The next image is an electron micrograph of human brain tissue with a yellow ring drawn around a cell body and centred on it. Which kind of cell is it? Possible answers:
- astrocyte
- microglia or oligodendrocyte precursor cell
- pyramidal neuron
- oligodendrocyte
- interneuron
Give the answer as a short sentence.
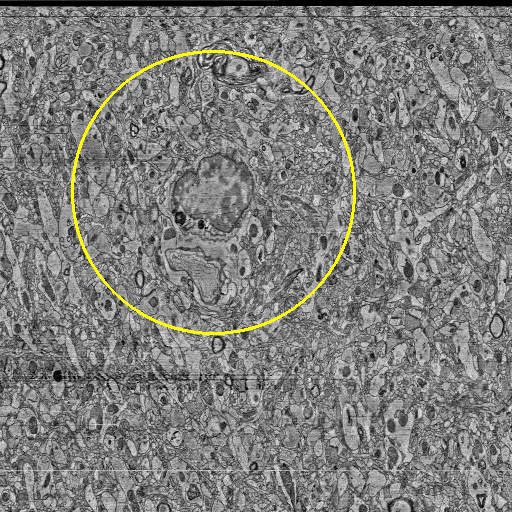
In the ring's centre is a microglial cell or oligodendrocyte precursor cell.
